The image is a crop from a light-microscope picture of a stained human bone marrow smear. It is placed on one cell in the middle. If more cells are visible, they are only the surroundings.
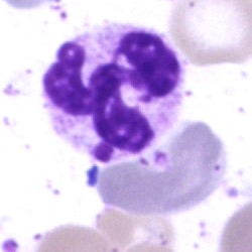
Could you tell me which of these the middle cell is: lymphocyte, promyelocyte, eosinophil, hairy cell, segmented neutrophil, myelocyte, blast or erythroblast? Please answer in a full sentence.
Occupying the centre of the crop is a segmented neutrophil.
